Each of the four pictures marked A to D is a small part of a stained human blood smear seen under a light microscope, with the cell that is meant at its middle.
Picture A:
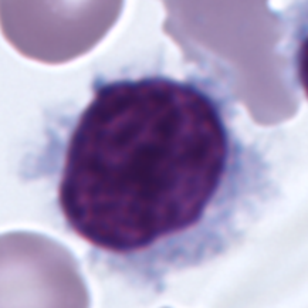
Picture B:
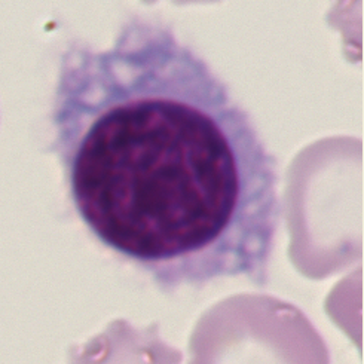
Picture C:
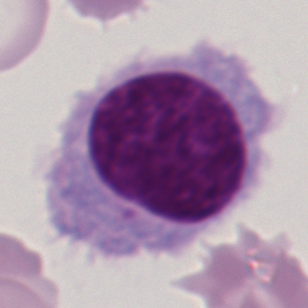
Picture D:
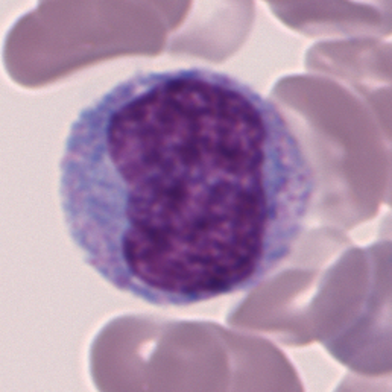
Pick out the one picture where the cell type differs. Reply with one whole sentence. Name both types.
Unlike the rest, which show hairy cells, picture D shows a monocyte.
